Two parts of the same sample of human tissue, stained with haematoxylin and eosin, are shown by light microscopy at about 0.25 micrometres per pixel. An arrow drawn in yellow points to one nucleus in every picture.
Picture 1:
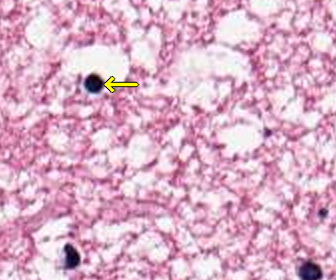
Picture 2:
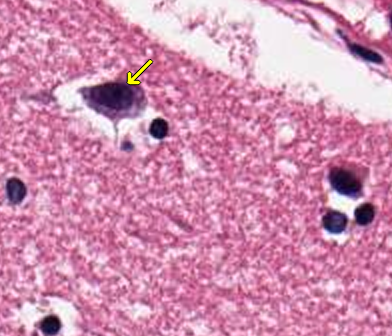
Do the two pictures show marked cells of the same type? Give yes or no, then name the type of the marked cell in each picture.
No, the first is an oligodendrocyte and the second a neuron.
